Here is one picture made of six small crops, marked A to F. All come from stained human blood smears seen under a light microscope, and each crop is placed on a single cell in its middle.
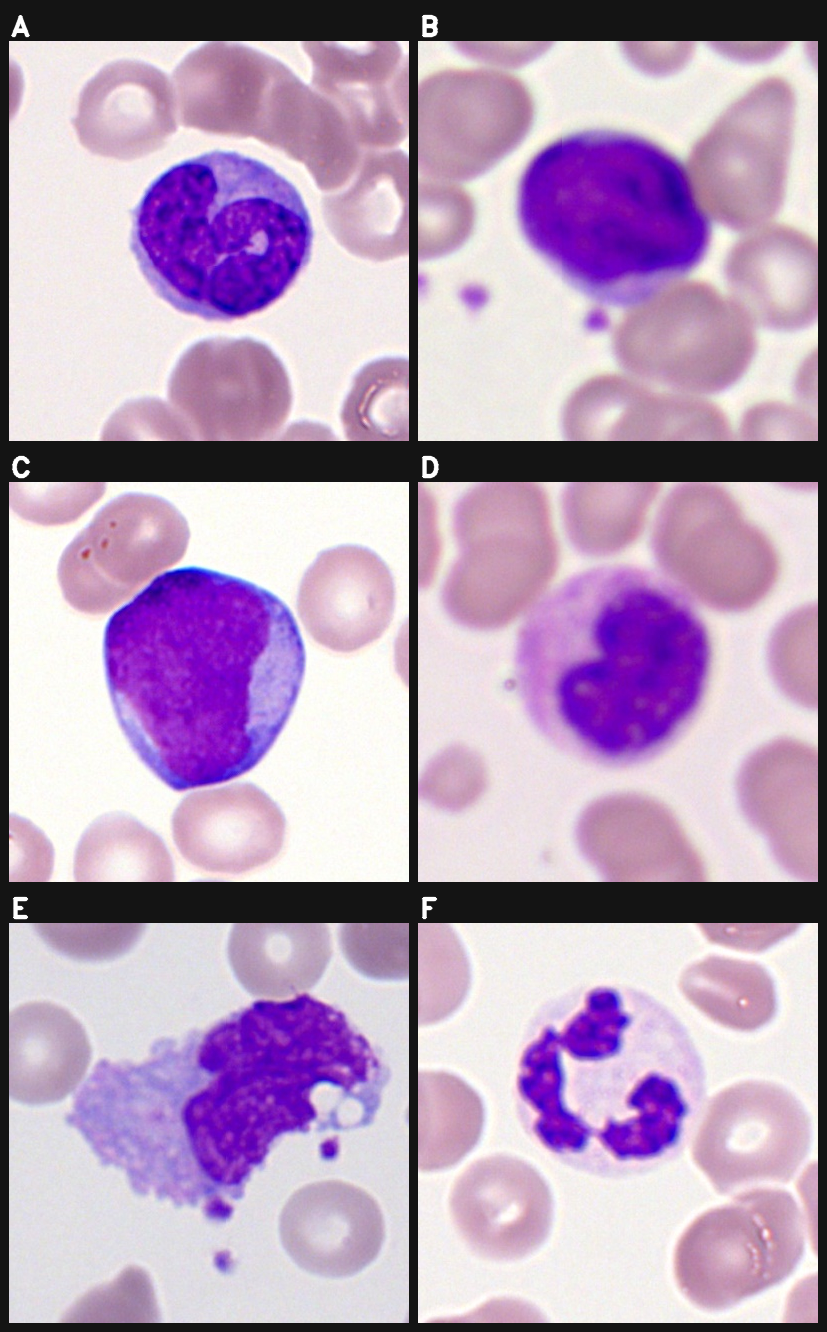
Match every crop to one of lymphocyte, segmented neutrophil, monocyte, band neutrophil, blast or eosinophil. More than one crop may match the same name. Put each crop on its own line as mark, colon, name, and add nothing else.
A: monocyte
B: blast
C: blast
D: band neutrophil
E: monocyte
F: segmented neutrophil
